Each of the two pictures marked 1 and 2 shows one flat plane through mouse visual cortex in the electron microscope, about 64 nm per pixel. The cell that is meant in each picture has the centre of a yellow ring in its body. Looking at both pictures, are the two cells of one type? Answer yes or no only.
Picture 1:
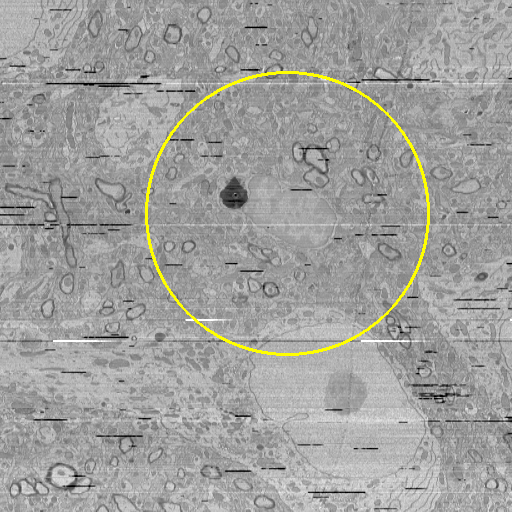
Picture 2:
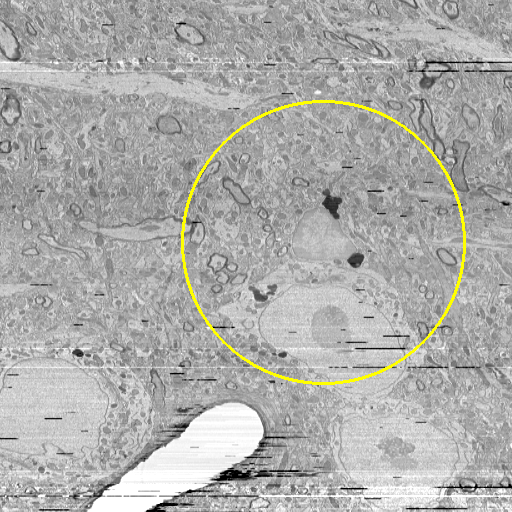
yes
